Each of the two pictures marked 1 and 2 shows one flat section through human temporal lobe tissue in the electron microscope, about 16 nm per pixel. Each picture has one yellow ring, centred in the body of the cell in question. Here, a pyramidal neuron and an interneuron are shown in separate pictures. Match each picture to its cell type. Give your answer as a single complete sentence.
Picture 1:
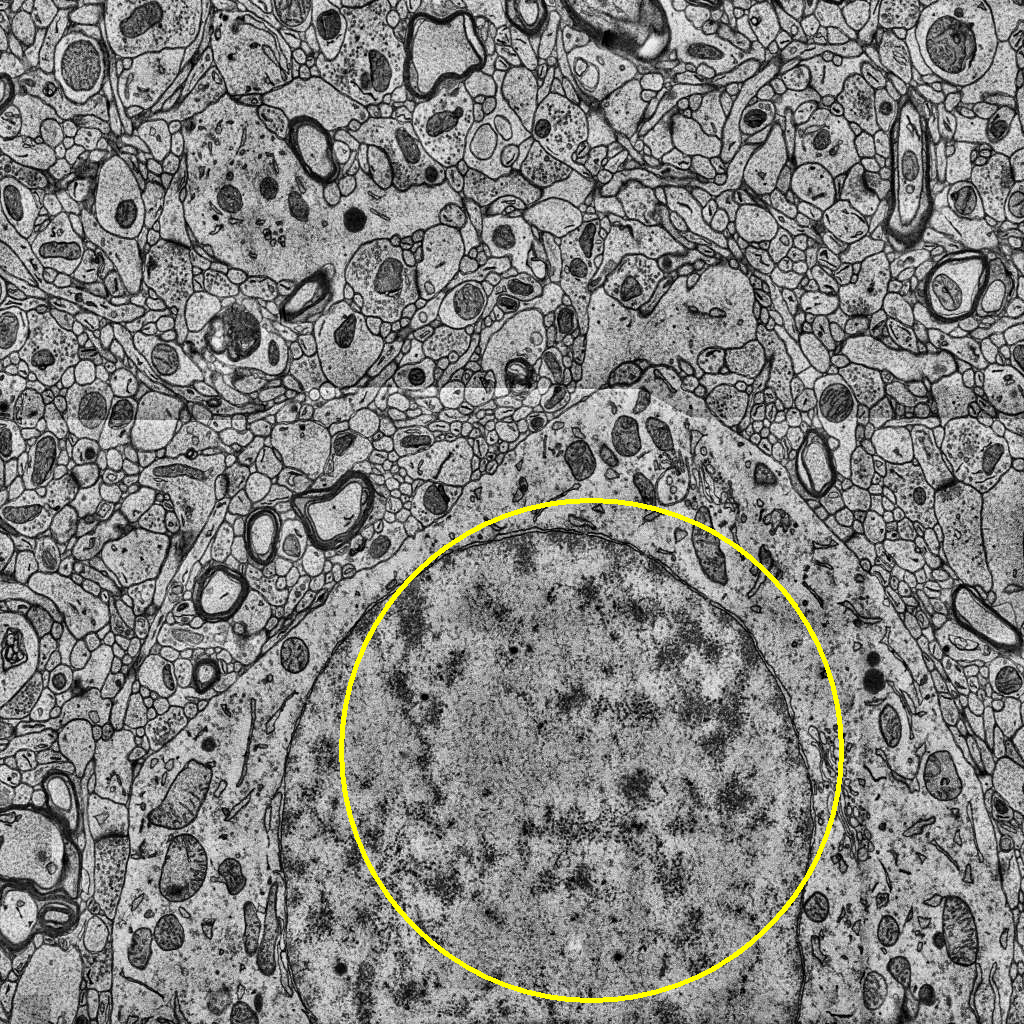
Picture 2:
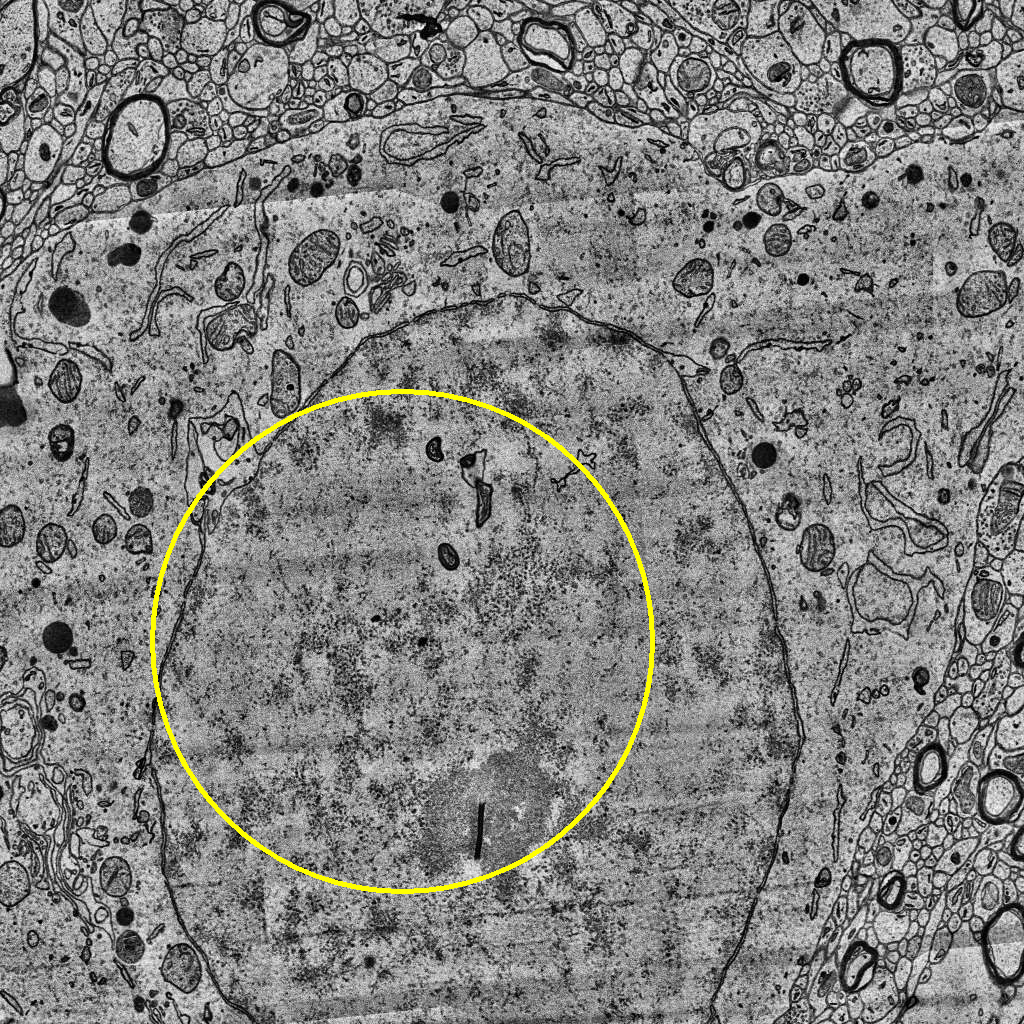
Picture 2 shows a pyramidal neuron, while picture 1 shows an interneuron.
